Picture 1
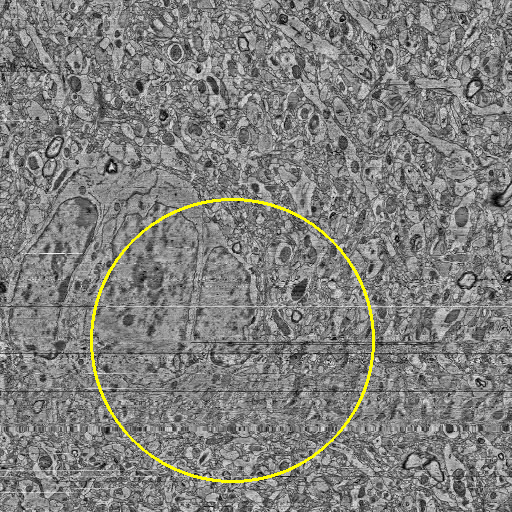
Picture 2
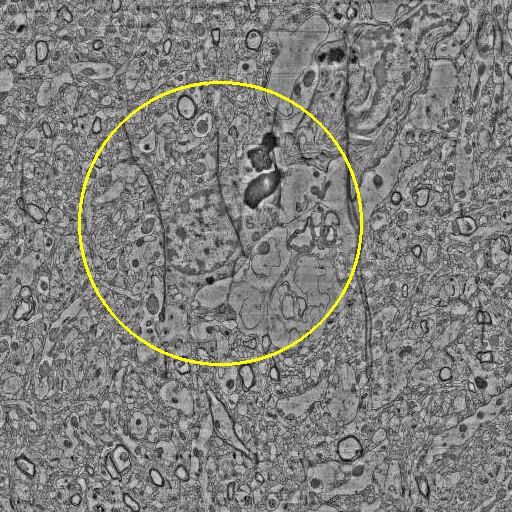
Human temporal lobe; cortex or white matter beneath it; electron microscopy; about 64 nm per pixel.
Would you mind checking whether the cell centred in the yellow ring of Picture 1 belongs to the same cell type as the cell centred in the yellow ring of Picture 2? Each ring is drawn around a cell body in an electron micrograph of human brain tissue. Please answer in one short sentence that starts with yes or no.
No, the two cells are of two types.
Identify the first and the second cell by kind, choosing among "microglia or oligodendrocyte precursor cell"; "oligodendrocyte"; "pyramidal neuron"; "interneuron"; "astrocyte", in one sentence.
The one in the first picture is a microglial cell or oligodendrocyte precursor cell, while the one in the second is an oligodendrocyte.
